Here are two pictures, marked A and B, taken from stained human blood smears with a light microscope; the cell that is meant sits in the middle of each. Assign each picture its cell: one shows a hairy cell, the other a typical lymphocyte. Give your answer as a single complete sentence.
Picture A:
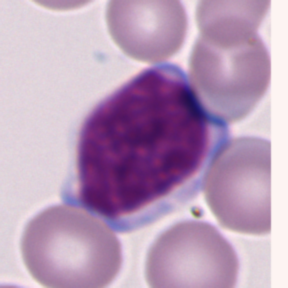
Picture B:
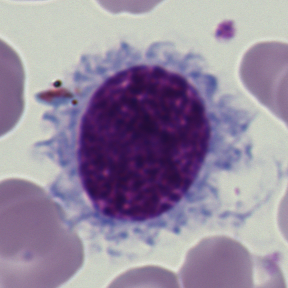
Picture B shows a hairy cell, while picture A shows a typical lymphocyte.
